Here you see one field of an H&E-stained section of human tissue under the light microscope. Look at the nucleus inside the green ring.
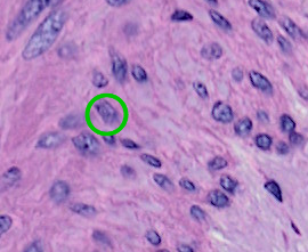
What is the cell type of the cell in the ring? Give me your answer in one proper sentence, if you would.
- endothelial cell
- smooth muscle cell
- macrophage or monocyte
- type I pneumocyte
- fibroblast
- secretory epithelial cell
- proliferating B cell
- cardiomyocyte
Recorded by type, the cell in the ring is a smooth muscle cell.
